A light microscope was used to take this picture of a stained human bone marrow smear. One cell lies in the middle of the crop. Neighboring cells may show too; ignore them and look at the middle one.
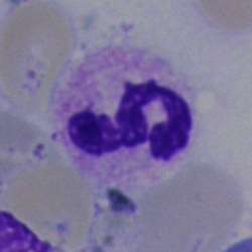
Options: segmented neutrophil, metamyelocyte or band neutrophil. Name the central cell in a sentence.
The centered cell in this crop is a segmented neutrophil.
